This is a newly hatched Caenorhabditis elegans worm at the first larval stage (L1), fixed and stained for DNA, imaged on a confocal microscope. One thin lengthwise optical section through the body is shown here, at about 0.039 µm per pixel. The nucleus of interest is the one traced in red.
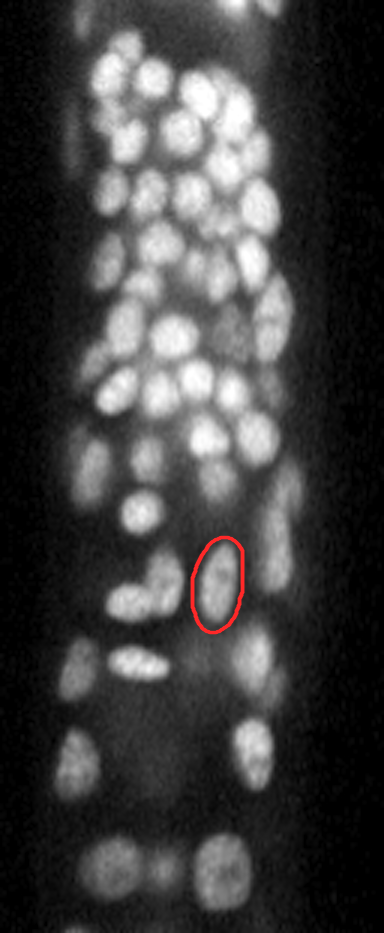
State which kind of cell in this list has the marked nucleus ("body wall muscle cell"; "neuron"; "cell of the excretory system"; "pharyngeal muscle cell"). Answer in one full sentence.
The nucleus comes from a pharyngeal muscle cell.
